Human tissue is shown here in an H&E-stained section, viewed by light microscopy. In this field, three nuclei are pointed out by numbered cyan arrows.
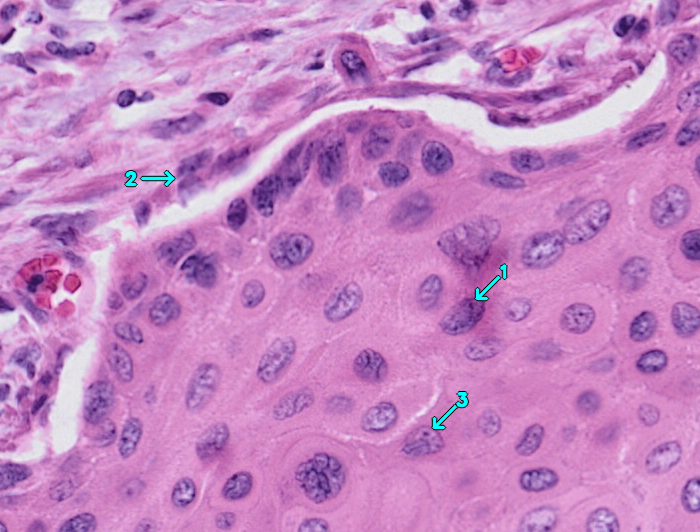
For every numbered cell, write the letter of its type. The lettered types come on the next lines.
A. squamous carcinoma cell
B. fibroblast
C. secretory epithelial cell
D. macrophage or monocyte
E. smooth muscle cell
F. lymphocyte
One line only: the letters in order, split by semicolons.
A; B; A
